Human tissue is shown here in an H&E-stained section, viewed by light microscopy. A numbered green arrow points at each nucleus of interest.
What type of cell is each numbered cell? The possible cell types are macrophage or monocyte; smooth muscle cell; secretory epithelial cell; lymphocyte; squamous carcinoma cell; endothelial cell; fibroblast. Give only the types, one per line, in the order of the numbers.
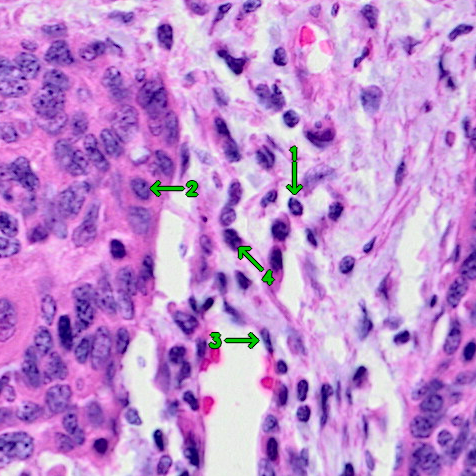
lymphocyte
squamous carcinoma cell
endothelial cell
lymphocyte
